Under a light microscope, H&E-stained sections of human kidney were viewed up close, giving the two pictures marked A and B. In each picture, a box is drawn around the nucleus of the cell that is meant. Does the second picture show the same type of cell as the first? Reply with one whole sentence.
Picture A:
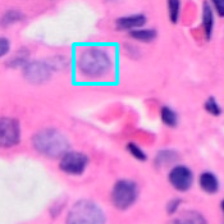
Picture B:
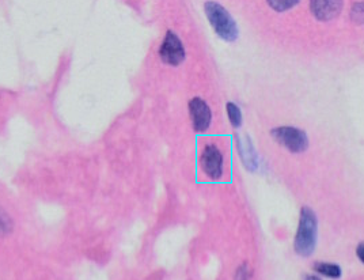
No, they differ: the cell is a collecting duct cell in picture A and a proximal tubule cell in picture B.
